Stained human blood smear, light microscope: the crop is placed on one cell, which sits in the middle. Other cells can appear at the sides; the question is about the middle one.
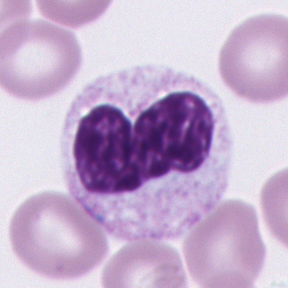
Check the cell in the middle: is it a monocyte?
no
